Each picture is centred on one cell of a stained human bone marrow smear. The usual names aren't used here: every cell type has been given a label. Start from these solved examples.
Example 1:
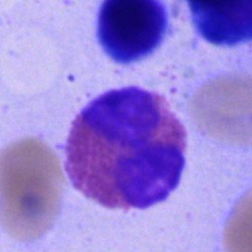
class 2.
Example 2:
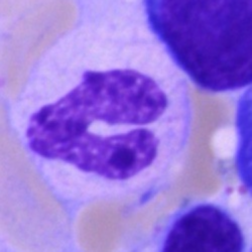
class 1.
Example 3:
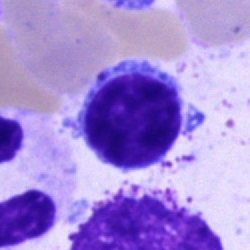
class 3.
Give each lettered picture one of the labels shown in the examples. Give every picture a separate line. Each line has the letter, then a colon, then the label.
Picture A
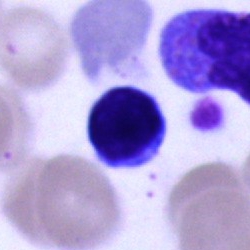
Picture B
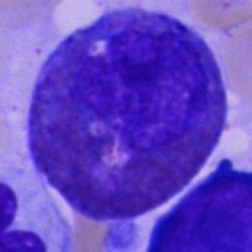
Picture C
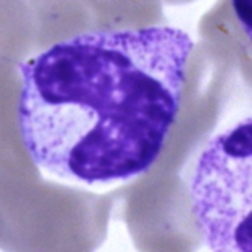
A: class 3.
B: class 2.
C: class 1.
